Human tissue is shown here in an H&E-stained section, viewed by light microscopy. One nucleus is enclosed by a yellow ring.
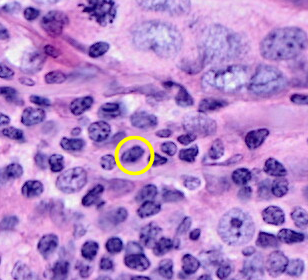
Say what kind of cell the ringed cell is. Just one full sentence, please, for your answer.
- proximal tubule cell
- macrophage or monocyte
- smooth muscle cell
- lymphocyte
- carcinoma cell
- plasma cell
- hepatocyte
In the context of this tissue, the ringed cell is a lymphocyte.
